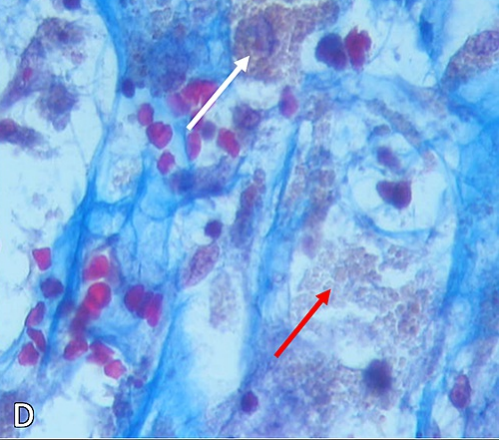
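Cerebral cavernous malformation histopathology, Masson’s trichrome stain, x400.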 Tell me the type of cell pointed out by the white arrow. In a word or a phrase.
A: Hemosiderophages.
